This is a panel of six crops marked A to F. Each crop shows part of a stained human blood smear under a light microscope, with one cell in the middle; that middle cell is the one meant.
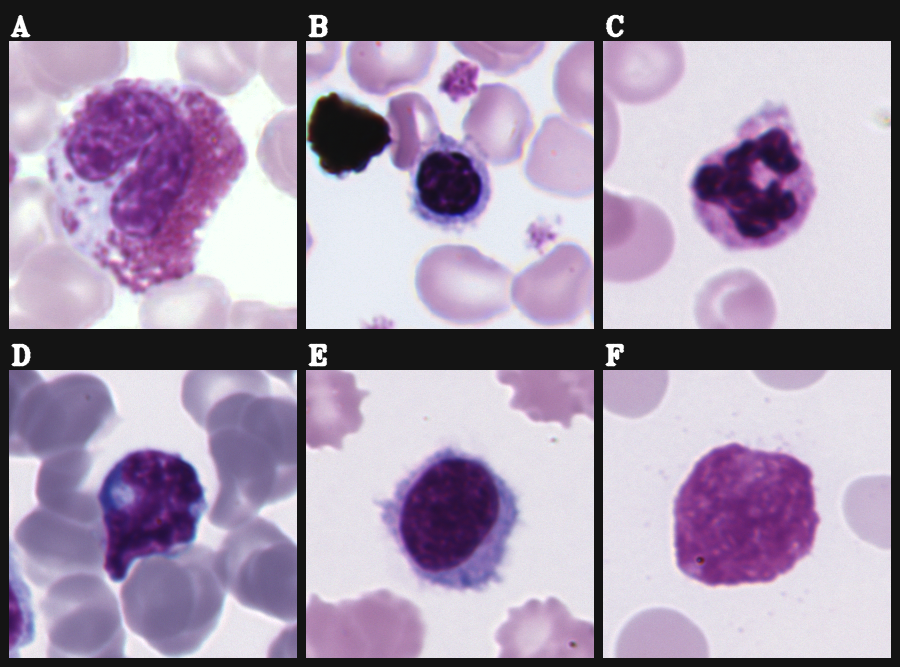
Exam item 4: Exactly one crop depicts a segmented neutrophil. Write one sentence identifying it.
Crop C is the one to choose: it shows a segmented neutrophil.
